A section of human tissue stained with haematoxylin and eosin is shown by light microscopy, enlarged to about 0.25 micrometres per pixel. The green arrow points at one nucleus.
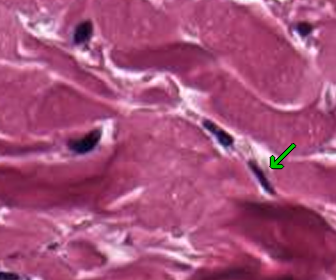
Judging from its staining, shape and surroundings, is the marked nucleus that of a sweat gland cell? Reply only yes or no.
no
